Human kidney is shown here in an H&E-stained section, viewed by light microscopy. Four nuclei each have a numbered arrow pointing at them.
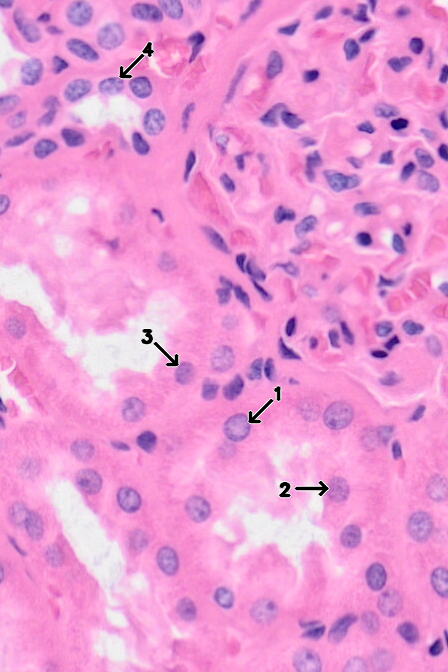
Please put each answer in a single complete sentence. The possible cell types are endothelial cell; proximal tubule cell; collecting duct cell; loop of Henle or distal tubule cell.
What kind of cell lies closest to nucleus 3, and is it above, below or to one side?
An endothelial cell lies closest, below and to the right of nucleus 3.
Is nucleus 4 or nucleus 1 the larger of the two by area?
At about 2.5 times the area of nucleus 4, nucleus 1 is the larger of the two.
